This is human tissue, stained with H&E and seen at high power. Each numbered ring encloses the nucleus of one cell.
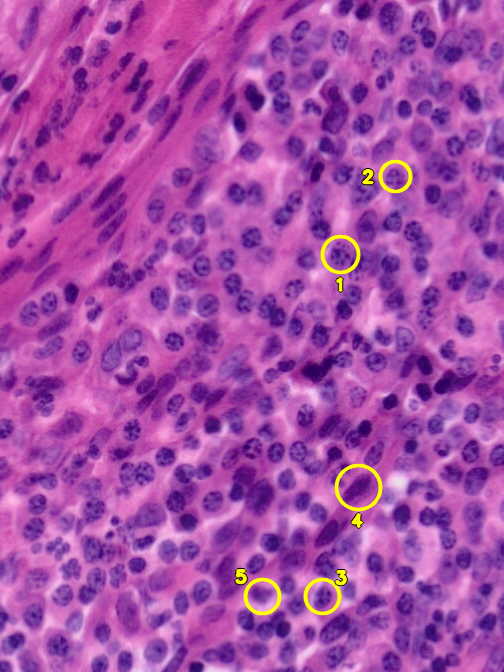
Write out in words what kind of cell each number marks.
Cell 1 is a plasma cell, cell 2 is a plasma cell, cell 3 is a plasma cell, cell 4 is a squamous epithelial cell and cell 5 is a squamous epithelial cell.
